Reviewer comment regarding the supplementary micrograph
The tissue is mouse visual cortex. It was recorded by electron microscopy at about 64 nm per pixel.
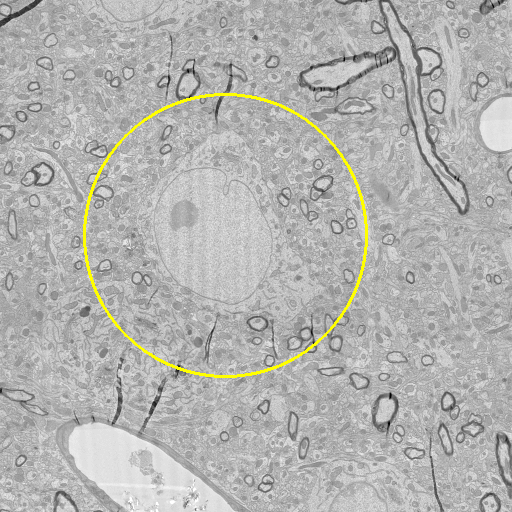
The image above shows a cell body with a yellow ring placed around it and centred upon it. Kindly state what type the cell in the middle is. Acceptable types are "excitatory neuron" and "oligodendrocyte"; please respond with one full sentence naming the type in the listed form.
In the image above, the cell on which the yellow ring is centred is an excitatory neuron.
